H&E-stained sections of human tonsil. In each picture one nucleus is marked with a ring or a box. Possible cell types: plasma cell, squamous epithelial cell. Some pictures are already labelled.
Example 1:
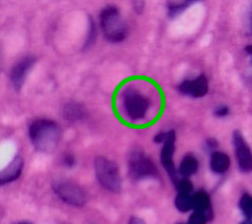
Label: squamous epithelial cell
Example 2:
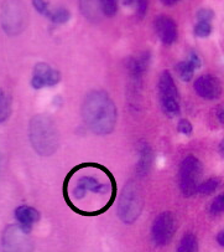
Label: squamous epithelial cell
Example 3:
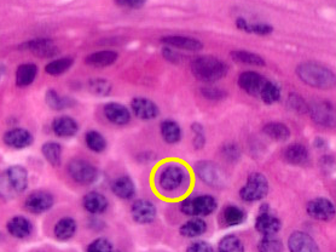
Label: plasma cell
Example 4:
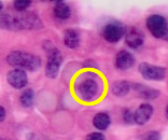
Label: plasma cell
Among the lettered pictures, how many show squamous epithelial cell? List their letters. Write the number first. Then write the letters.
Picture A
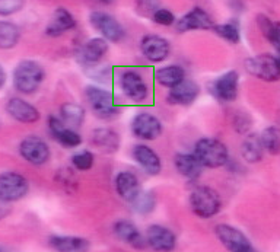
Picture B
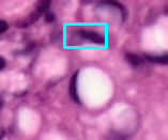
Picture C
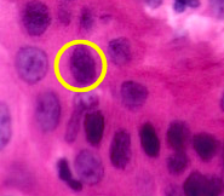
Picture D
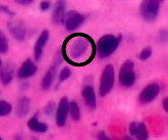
3: B, C, D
